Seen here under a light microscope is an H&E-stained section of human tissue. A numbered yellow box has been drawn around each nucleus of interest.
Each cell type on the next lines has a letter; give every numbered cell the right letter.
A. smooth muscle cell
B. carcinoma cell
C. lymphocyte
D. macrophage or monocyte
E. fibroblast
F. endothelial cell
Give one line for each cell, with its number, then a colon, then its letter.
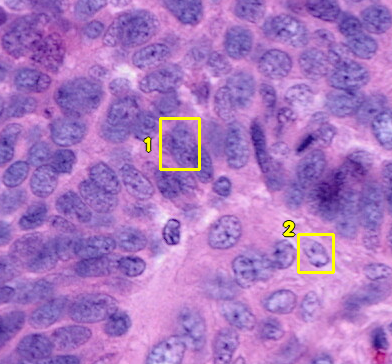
1: B
2: E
